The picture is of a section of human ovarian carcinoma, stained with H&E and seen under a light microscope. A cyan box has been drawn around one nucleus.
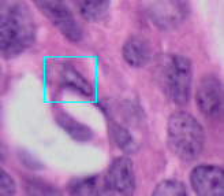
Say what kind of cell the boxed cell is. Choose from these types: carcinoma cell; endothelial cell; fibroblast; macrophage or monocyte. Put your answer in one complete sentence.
The cell meant here is an endothelial cell.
